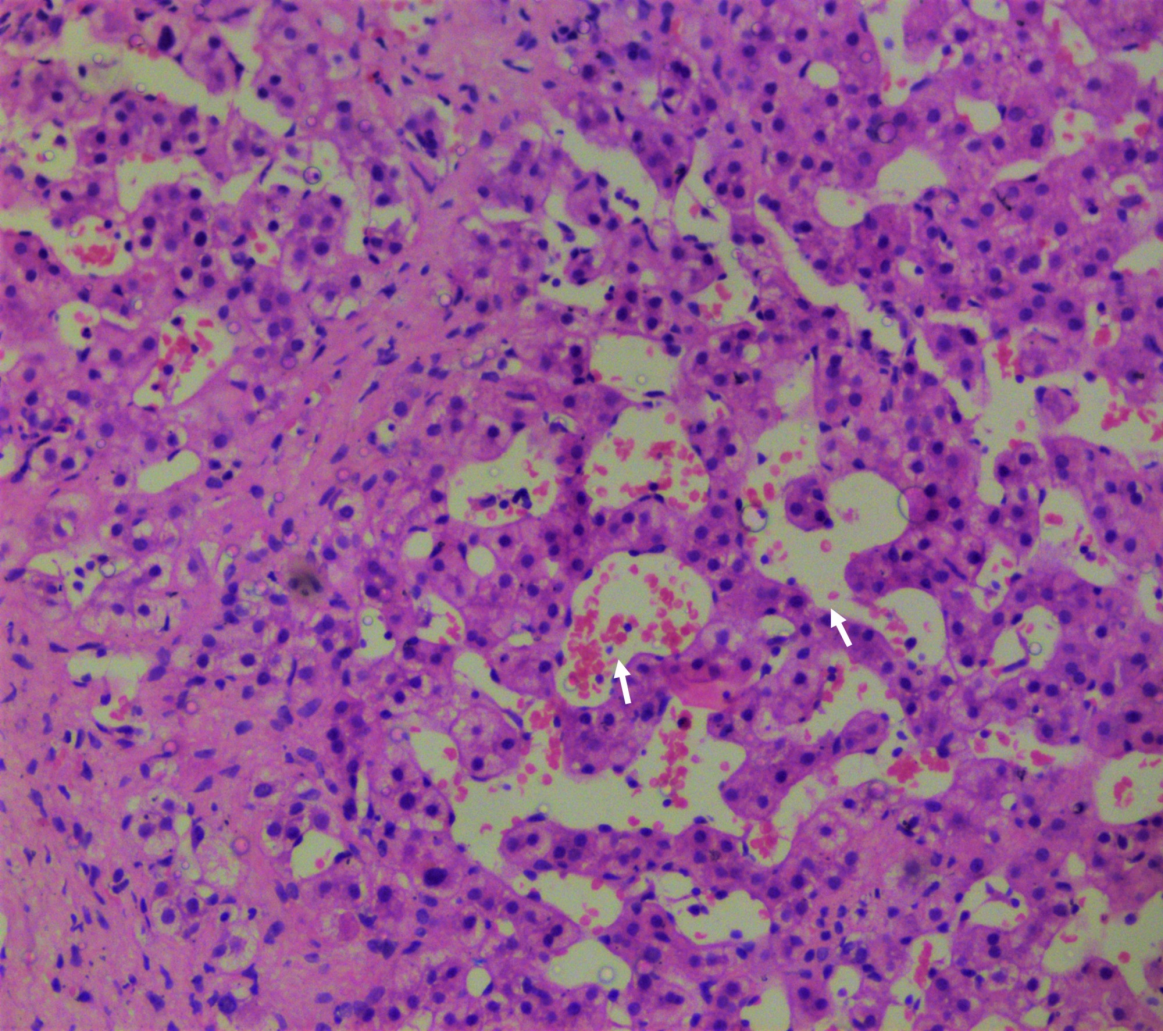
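This is liver tissue in which the channels between the hepatocyte plates are strikingly widened. The hepatocytes are polygonal cells with pink cytoplasm and round, dark purple central nuclei, lined up in plates and cords. Between the plates lie broad, irregular, pale spaces, much wider than normal sinusoids, that contain scattered red blood cells. Toward the lower left the tissue is paler and more fibrillar pink, with spindle-shaped nuclei, and a few cells nearby have clear, vacuolated cytoplasm.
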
